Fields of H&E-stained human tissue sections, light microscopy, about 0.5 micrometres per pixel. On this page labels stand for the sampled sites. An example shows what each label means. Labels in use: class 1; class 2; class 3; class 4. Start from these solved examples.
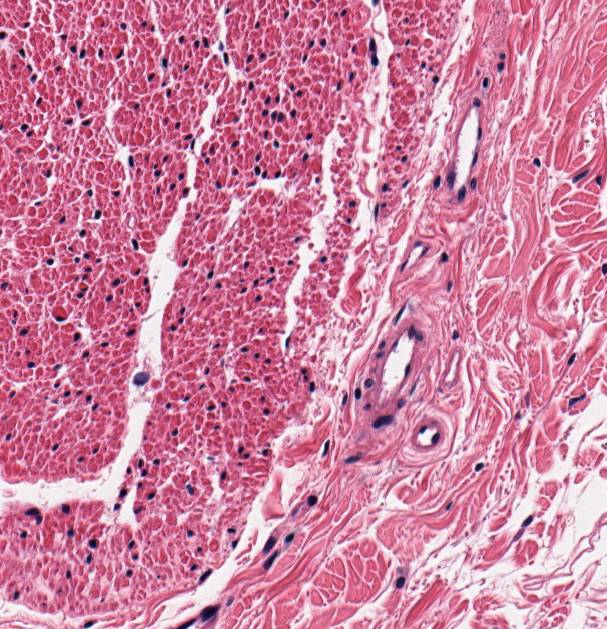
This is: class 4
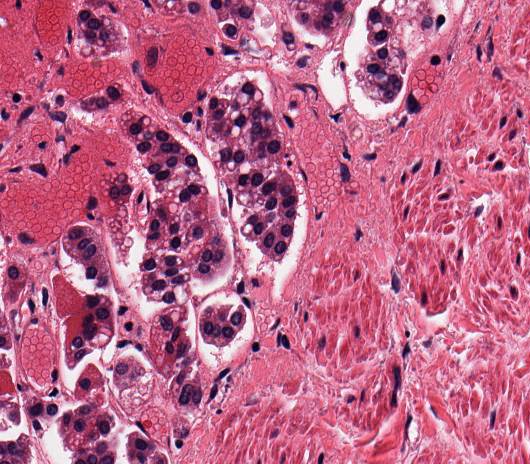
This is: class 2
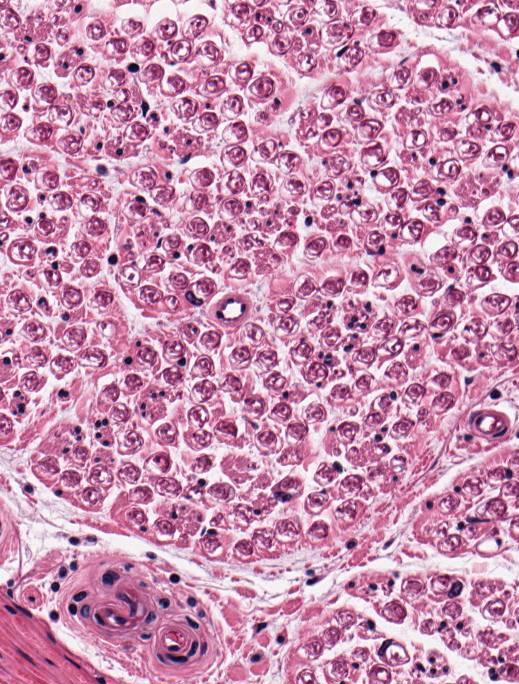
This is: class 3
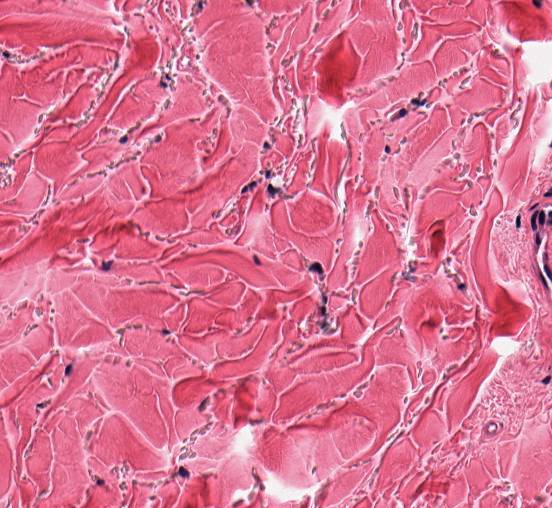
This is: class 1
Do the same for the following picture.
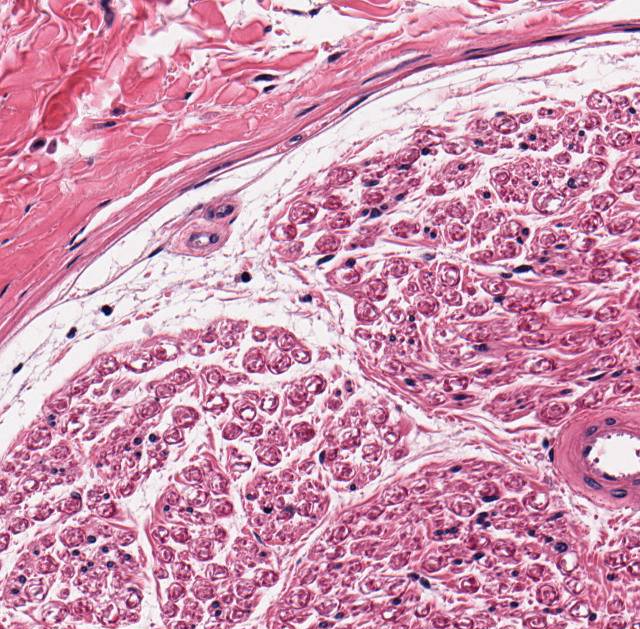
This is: class 3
